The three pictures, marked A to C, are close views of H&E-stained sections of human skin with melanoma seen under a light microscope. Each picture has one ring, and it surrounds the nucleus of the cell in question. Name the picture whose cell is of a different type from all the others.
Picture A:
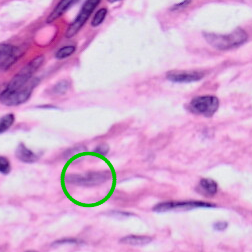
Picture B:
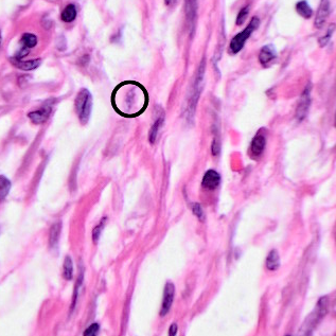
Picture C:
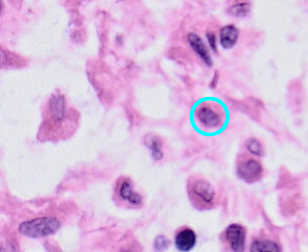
C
